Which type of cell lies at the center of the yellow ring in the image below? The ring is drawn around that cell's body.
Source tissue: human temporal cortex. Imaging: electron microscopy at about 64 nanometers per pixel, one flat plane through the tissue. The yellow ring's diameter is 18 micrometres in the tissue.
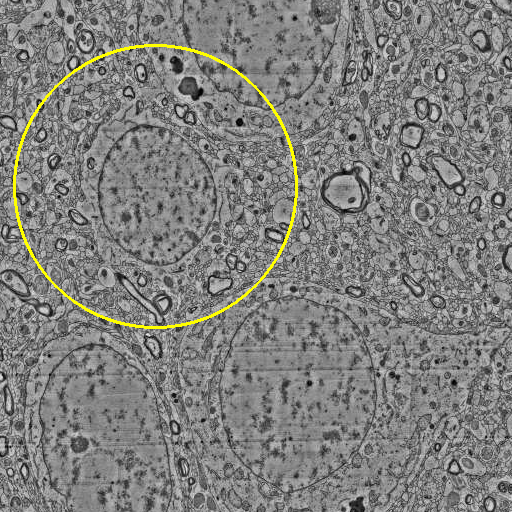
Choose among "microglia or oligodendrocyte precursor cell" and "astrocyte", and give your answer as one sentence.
The cell body at the center belongs to an astrocyte.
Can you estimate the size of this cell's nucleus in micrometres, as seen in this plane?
About 9 by 7 micrometers for the nucleus, in this plane.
